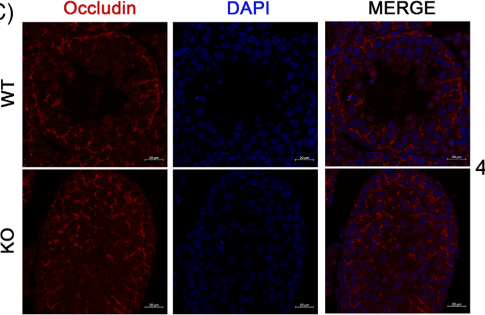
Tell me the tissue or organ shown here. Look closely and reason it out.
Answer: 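Rounded tubule profiles with a layered epithelium of many nuclei.
Answer: testes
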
